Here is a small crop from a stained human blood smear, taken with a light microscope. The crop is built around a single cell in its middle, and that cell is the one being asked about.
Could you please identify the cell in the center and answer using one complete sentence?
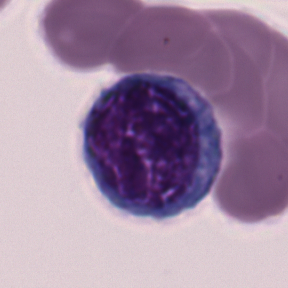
Centred in the crop is a plasma cell.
